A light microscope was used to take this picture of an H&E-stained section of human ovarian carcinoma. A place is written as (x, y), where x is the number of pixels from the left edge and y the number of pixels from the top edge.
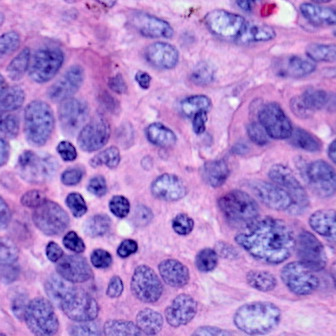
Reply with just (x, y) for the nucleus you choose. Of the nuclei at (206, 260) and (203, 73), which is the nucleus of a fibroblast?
(203, 73)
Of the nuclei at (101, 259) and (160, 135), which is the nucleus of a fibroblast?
(160, 135)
